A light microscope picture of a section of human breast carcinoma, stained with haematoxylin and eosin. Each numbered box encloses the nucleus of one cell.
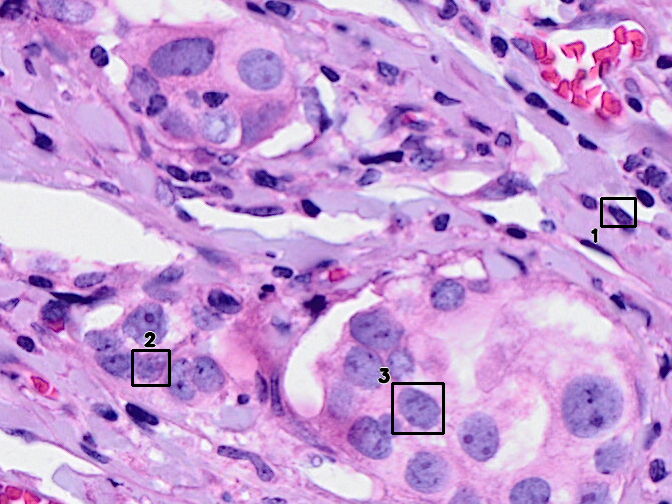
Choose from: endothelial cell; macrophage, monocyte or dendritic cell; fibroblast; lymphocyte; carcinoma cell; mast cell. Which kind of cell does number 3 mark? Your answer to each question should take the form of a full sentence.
The label 3 in this section denotes a carcinoma cell.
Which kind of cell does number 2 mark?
Number 2 among the marked cells is a carcinoma cell.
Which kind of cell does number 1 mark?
As for number 1, that cell is a lymphocyte.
